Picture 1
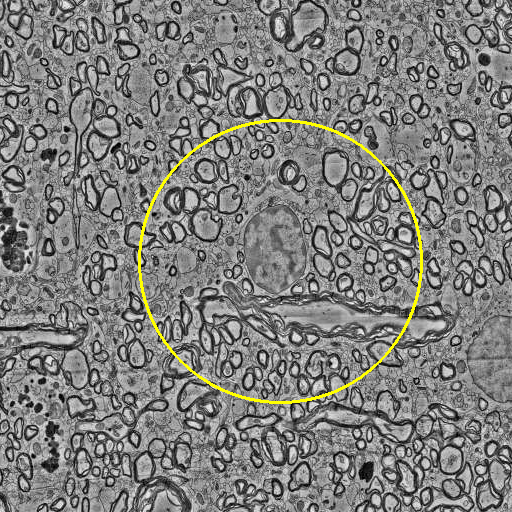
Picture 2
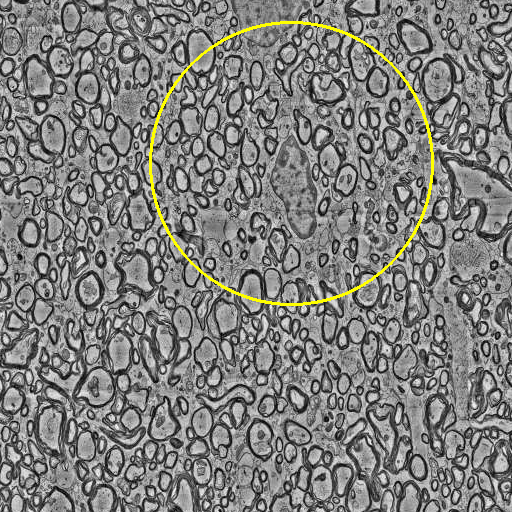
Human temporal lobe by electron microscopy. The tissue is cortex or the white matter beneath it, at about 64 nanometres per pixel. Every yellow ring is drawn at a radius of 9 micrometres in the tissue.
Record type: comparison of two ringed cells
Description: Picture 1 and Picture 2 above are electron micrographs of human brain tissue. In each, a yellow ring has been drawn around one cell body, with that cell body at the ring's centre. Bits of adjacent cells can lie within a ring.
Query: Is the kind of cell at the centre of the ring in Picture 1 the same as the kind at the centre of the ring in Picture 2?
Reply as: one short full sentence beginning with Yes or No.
Yes, the two ringed cells are of the same kind.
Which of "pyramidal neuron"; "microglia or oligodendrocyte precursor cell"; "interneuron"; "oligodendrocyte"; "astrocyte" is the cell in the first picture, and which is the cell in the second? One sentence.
Both rings mark a microglial cell or oligodendrocyte precursor cell, one in each picture.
